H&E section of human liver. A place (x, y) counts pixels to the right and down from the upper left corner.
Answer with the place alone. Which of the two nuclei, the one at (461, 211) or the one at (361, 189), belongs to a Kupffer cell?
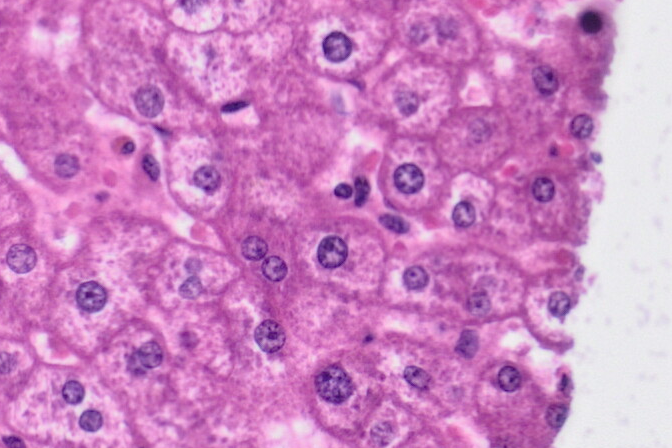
(361, 189)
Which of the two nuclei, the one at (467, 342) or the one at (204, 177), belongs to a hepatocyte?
(204, 177)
